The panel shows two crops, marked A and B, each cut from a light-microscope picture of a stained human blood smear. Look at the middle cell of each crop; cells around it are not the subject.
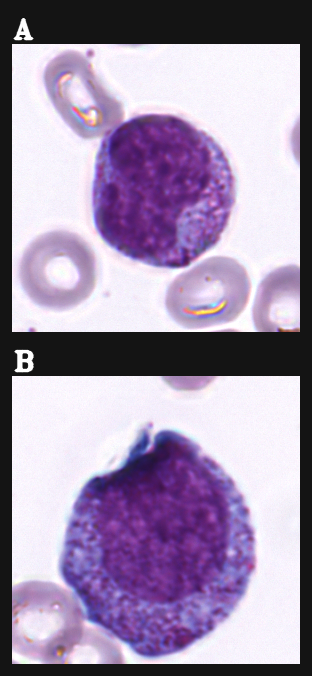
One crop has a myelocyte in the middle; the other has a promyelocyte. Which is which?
A: myelocyte
B: promyelocyte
